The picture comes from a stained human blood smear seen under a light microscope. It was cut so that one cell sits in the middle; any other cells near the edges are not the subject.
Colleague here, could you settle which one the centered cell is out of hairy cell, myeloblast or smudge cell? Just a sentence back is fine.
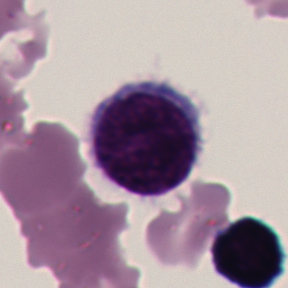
The cell at the centre of the field is a hairy cell.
